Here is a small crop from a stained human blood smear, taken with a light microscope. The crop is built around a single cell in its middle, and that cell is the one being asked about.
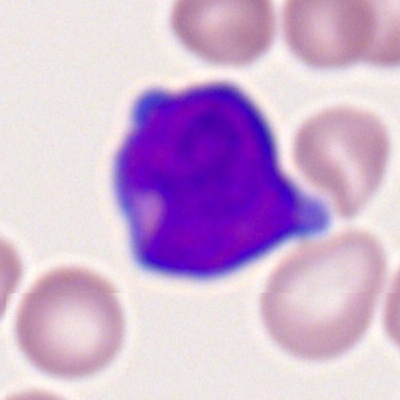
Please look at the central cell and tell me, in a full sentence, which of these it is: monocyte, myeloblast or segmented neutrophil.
The centered cell in this crop is a myeloblast.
